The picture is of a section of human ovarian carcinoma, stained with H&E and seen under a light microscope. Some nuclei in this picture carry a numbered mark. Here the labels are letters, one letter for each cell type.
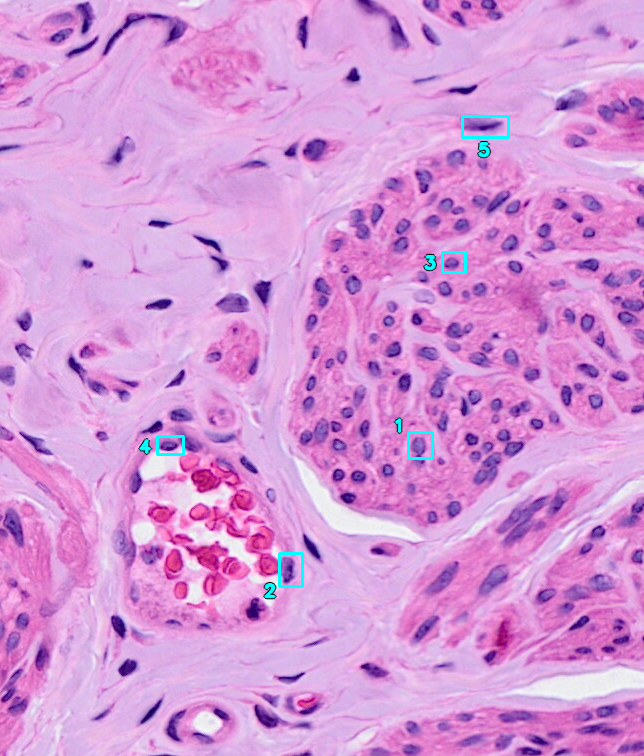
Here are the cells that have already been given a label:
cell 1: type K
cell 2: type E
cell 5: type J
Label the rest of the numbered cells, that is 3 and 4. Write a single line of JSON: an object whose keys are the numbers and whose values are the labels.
{"3": "type K", "4": "type E"}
